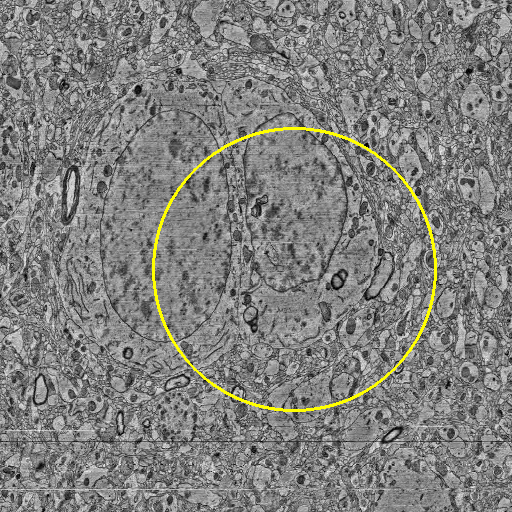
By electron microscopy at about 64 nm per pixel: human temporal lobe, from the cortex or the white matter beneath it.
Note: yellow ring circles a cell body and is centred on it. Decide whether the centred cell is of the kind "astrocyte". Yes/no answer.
No, the centred cell is of another kind.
